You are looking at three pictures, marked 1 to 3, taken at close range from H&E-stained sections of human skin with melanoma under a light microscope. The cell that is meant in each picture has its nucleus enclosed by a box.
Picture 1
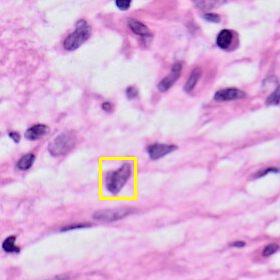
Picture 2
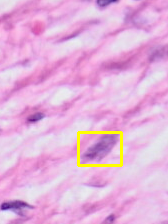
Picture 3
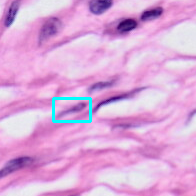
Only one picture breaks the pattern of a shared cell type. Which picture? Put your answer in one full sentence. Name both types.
Picture 1 differs, because its cell is a “macrophage or monocyte” and the rest are “fibroblasts or myofibroblasts”.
